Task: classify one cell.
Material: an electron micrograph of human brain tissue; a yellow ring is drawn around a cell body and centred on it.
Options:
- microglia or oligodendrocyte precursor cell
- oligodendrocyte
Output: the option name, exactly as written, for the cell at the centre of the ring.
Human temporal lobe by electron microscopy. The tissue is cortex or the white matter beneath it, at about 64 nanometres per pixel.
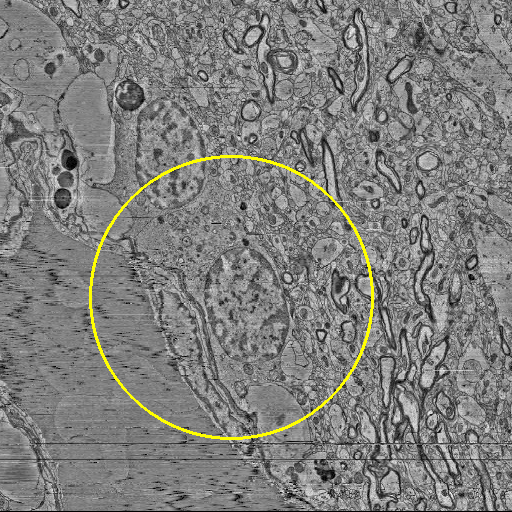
oligodendrocyte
